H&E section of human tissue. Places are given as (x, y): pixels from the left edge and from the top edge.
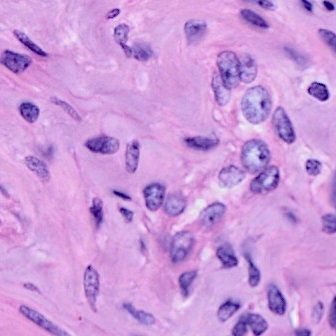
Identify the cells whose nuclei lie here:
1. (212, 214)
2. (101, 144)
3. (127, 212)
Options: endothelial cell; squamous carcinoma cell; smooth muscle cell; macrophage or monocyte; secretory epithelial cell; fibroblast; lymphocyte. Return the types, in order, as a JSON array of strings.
["endothelial cell", "fibroblast", "fibroblast"]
